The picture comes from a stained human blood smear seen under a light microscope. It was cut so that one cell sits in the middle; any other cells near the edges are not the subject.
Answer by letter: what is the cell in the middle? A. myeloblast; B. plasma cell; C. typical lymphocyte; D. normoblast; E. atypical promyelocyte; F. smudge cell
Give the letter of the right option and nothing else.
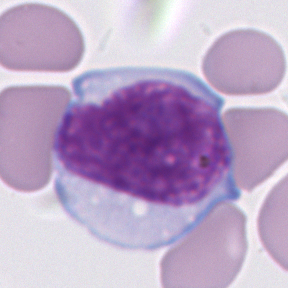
A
